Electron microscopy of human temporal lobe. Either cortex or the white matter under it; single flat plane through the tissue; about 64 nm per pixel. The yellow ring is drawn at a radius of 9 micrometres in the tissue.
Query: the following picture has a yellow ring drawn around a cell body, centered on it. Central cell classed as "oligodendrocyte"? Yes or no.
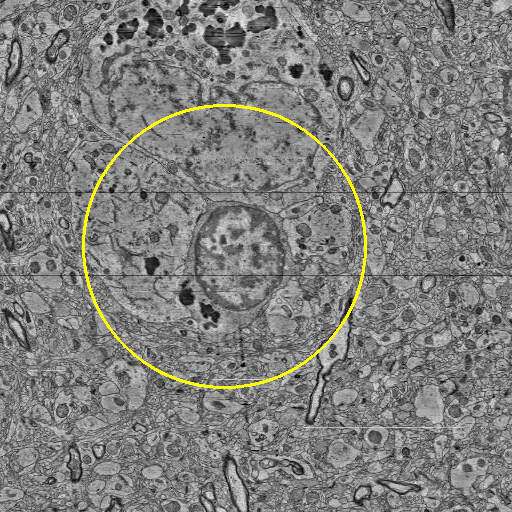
yes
